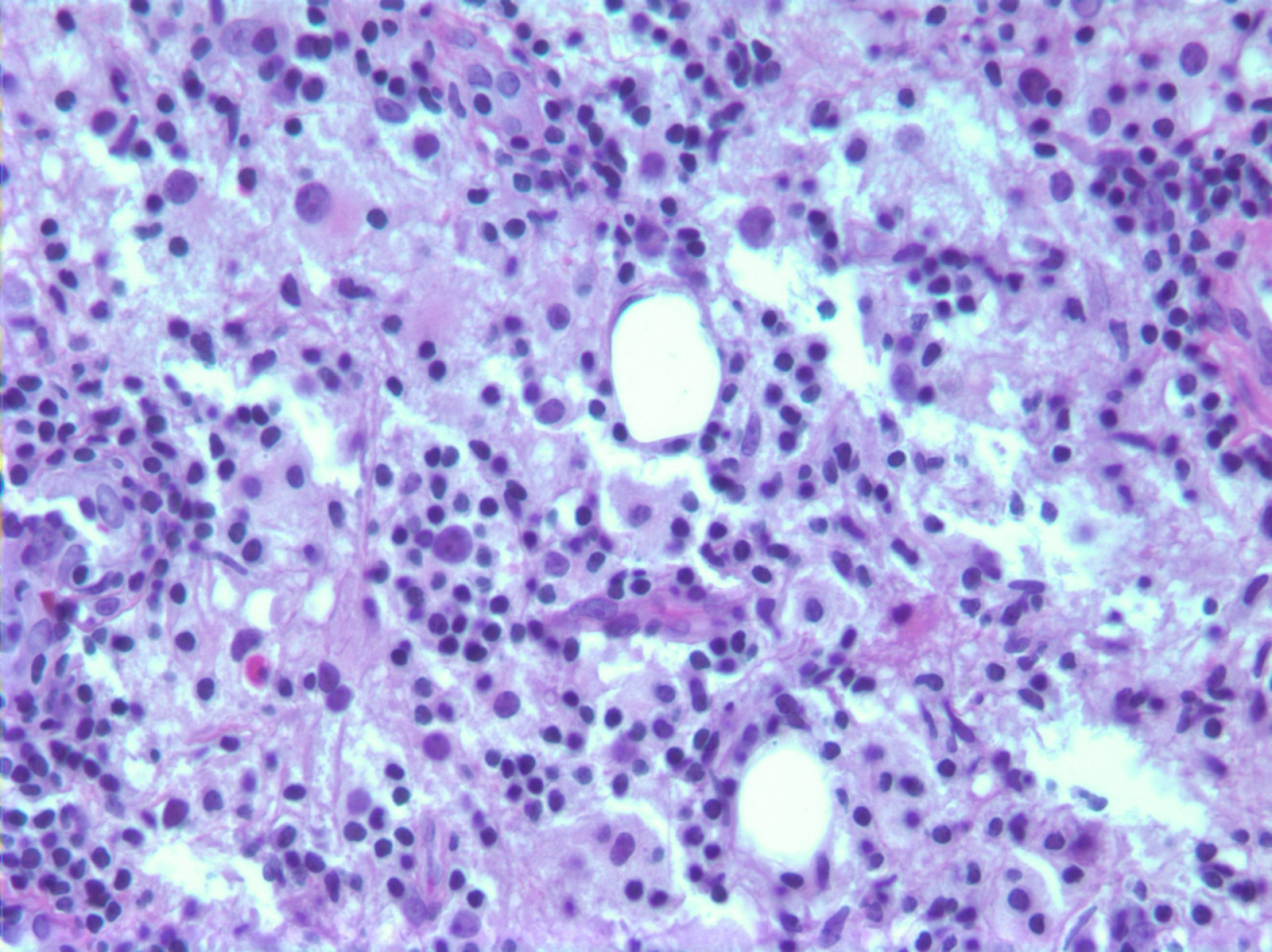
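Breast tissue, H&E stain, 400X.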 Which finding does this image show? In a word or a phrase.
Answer: emperipolesis of lymphocytes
